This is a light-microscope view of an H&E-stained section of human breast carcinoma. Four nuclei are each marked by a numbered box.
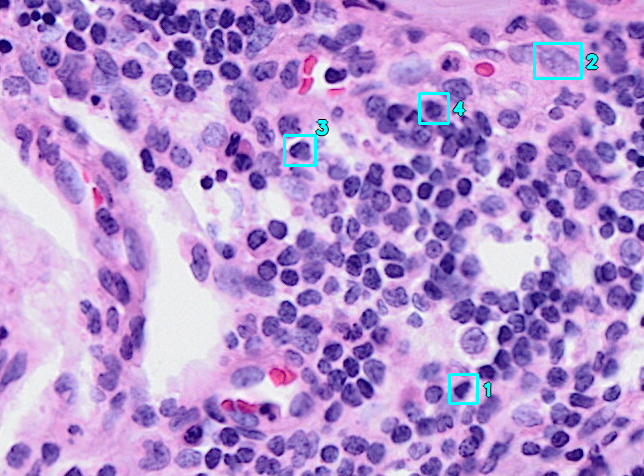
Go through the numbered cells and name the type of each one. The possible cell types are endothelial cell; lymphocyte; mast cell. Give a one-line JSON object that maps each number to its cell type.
{"1": "lymphocyte", "2": "endothelial cell", "3": "lymphocyte", "4": "lymphocyte"}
